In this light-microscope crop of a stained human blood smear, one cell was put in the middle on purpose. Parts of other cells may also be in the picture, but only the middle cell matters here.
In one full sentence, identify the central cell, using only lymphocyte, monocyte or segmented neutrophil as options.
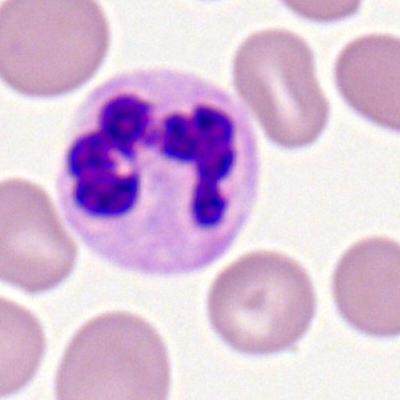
The centrally positioned cell in the crop represents a segmented neutrophil.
